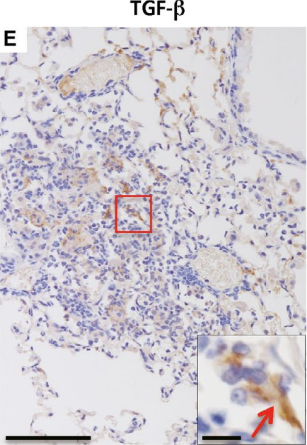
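Lung tissue with a dense cellular area of blue nuclei and scattered brown-stained cells, bordered by thin-walled alveoli, with vessels cut in cross section. The enlarged inset shows an elongated spindle-shaped cell with brown cytoplasm tapering at its ends among small round blue nuclei, as in fibroblastic cells.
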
